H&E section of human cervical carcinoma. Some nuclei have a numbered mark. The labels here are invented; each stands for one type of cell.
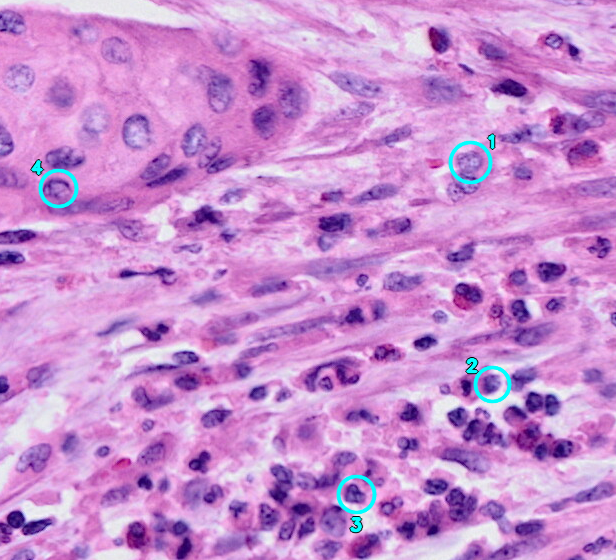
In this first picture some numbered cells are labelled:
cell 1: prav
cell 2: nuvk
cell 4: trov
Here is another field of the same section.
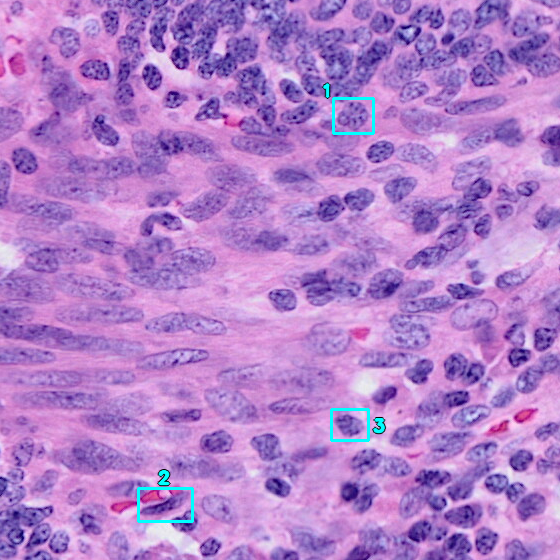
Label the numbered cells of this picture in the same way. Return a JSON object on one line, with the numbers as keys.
{"1": "trov", "2": "prav", "3": "nuvk"}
